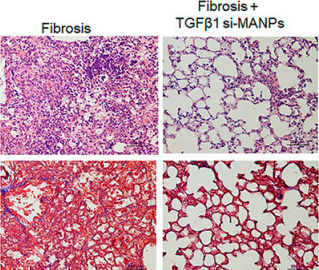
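In the left column the parenchyma is dense and crowded with purple nuclei, and most of the air spaces are lost. In the right column the lung looks much closer to normal: open, empty alveolar spaces are bounded by thin septa with only scattered nuclei.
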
